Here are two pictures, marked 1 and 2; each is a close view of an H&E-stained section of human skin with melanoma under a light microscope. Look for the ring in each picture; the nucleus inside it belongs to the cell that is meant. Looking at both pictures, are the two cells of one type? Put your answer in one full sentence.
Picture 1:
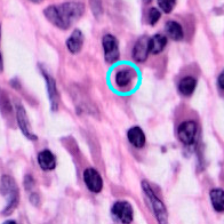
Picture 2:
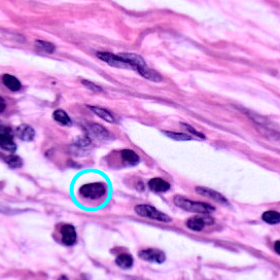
Yes, both cells are plasma cells.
